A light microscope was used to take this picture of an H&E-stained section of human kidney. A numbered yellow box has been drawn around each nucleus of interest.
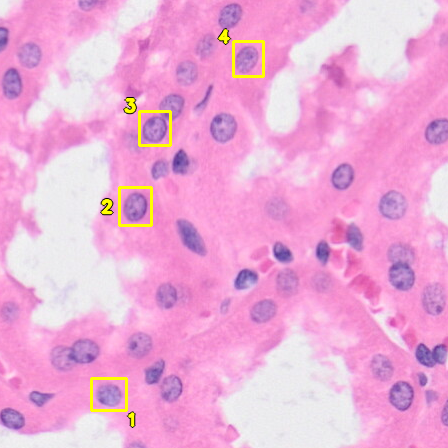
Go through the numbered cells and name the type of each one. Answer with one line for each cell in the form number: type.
1: loop of Henle or distal tubule cell
2: proximal tubule cell
3: proximal tubule cell
4: proximal tubule cell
